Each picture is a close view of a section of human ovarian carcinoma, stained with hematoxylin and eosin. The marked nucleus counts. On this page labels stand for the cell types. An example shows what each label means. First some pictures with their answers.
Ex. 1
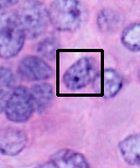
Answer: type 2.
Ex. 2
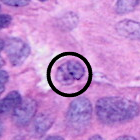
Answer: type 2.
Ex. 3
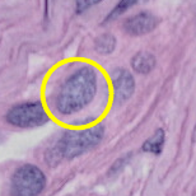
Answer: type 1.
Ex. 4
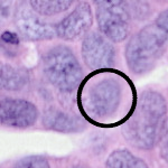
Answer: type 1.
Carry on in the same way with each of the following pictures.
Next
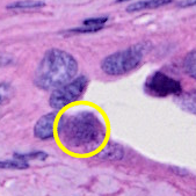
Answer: type 1.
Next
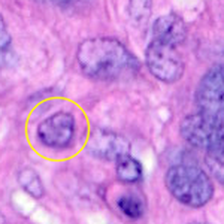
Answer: type 2.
